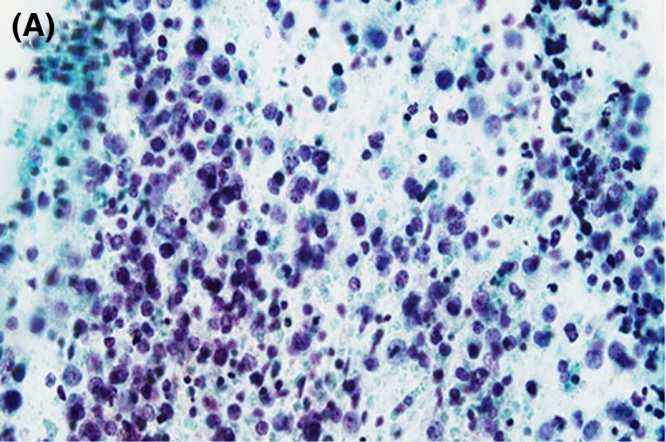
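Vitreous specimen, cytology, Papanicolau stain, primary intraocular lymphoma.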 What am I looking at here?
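The nuclei are large, round to irregular and stain dark purple-blue, some with visible chromatin clumping. Cytoplasm is scant, forming only a thin rim around the nuclei. Smaller dark cells and granular debris lie scattered between them on a pale background.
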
